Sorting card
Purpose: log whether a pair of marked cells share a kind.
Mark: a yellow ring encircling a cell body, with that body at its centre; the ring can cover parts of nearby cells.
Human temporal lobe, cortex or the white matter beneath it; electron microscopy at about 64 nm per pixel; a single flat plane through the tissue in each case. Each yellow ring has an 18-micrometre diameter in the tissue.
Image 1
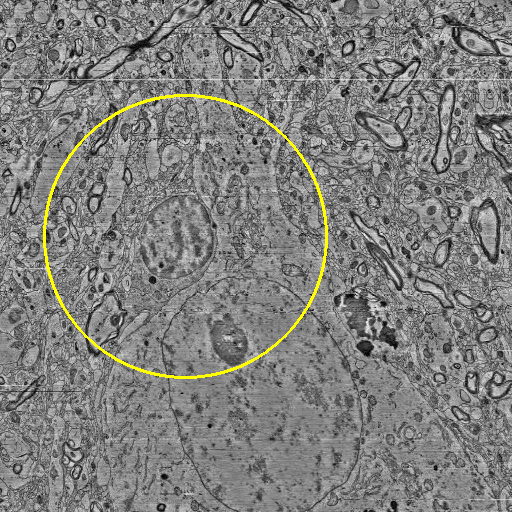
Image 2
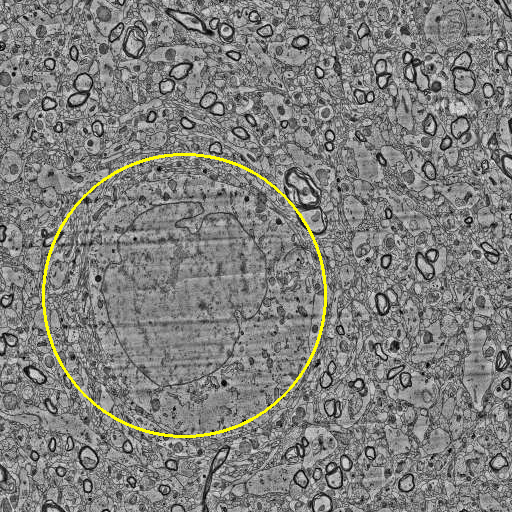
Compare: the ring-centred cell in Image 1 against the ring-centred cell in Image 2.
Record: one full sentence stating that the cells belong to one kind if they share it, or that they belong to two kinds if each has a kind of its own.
Across Images 1 and 2, the two ring-centred cells belong to two kinds.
